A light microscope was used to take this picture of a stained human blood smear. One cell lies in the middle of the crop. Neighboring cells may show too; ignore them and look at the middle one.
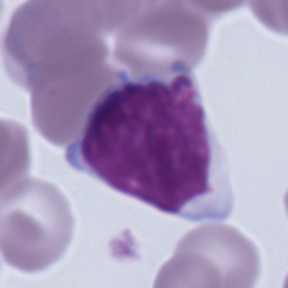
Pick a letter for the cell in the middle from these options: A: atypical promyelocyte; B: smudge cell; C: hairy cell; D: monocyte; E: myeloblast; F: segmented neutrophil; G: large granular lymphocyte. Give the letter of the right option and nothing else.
G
